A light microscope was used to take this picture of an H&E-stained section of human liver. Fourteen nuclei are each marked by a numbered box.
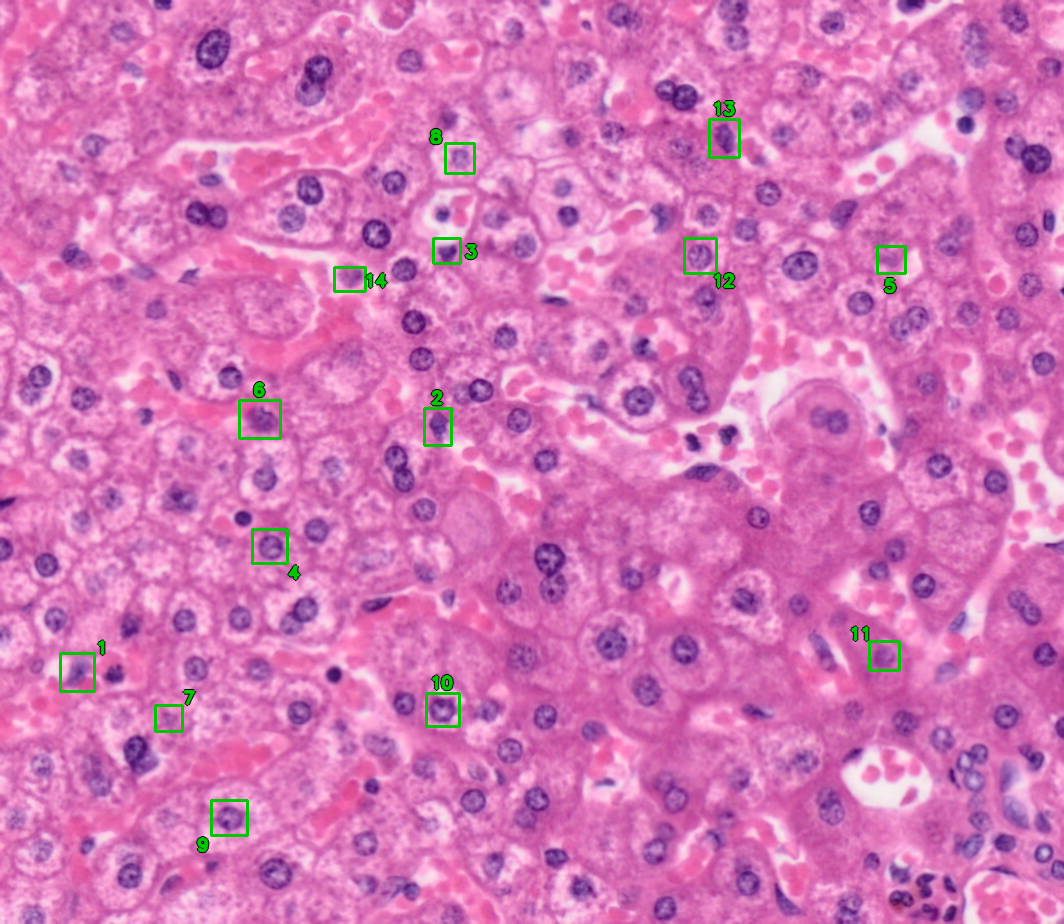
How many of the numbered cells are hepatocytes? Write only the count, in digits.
8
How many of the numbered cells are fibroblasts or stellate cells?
3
